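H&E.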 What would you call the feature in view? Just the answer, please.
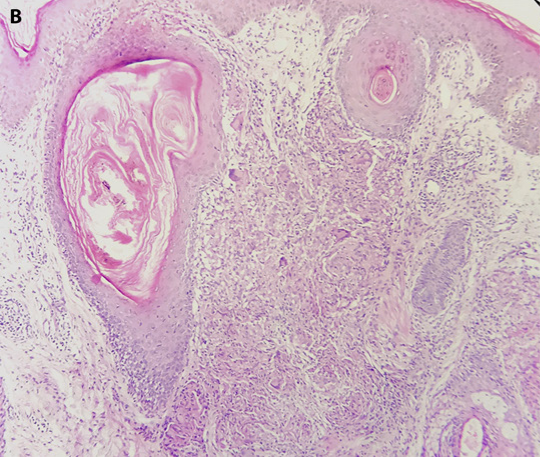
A: Perifollicular granulomas.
